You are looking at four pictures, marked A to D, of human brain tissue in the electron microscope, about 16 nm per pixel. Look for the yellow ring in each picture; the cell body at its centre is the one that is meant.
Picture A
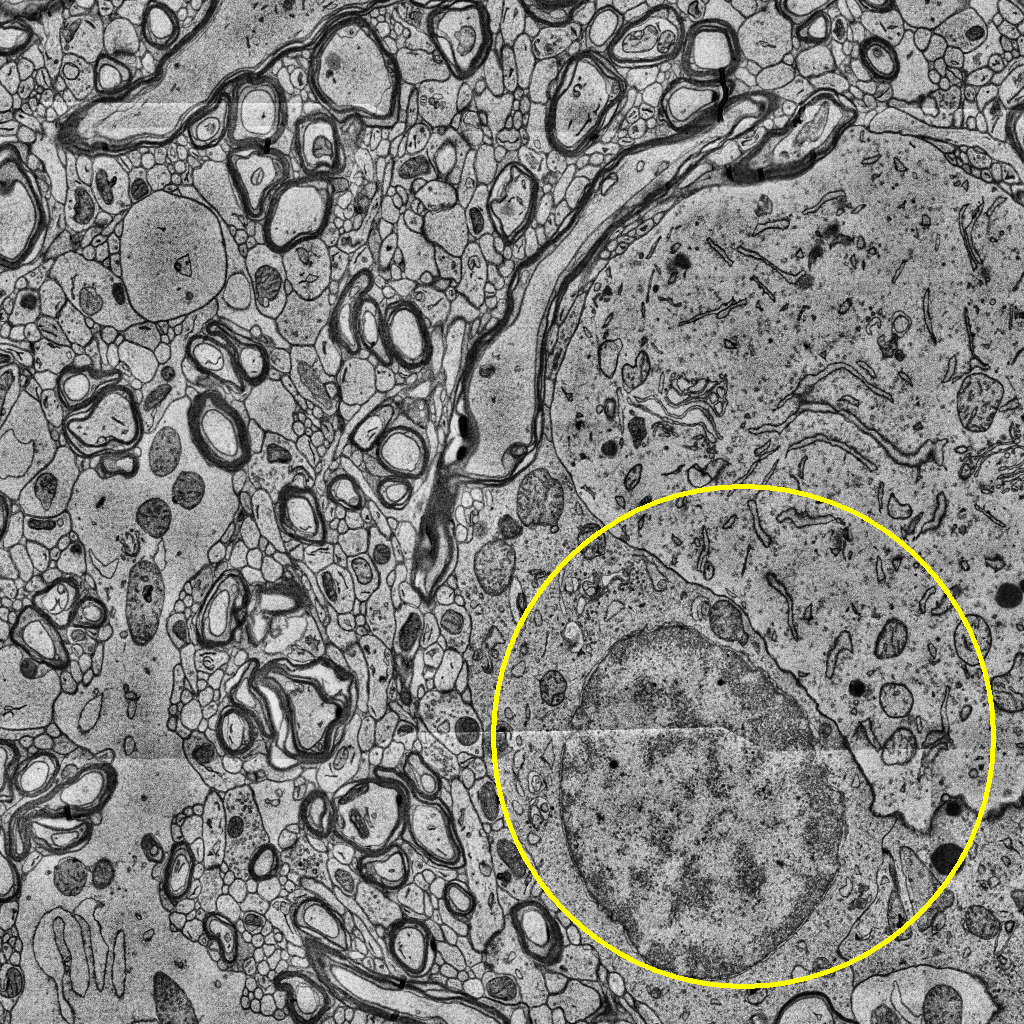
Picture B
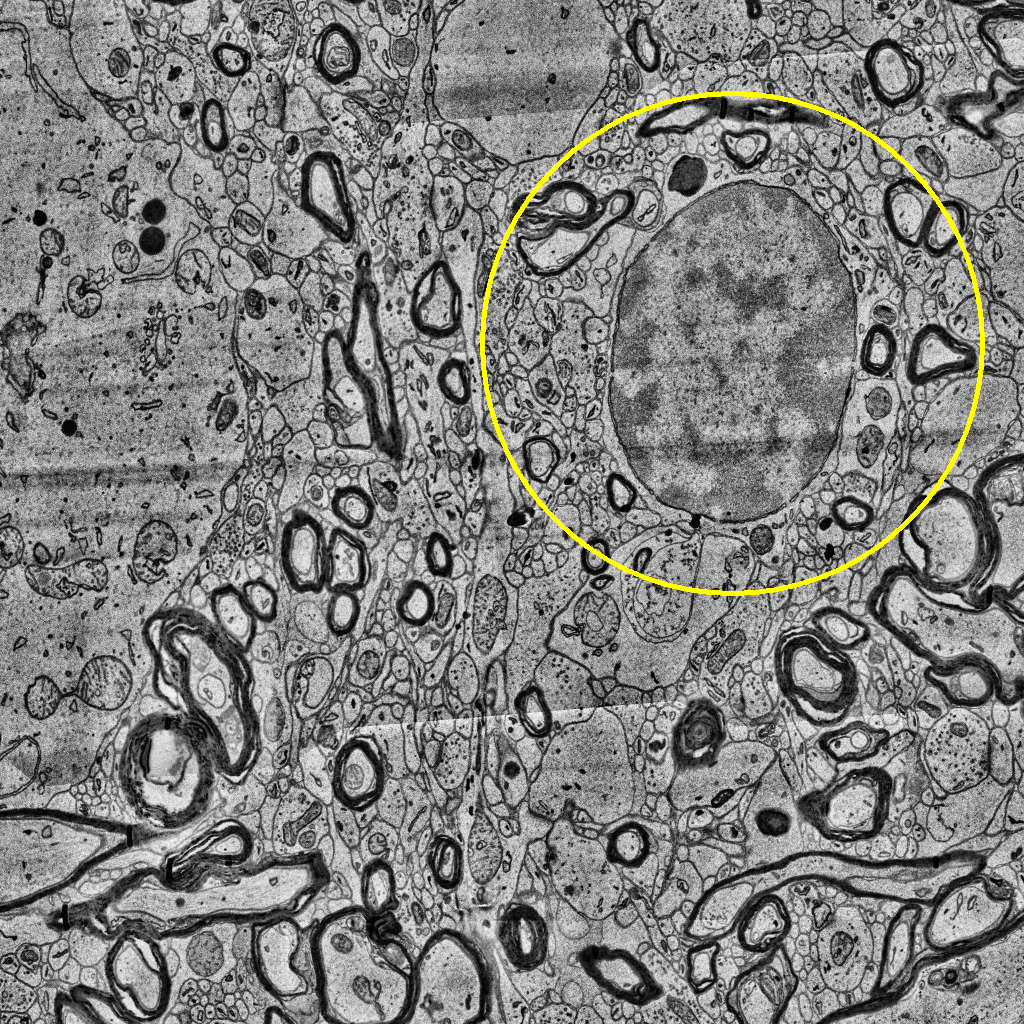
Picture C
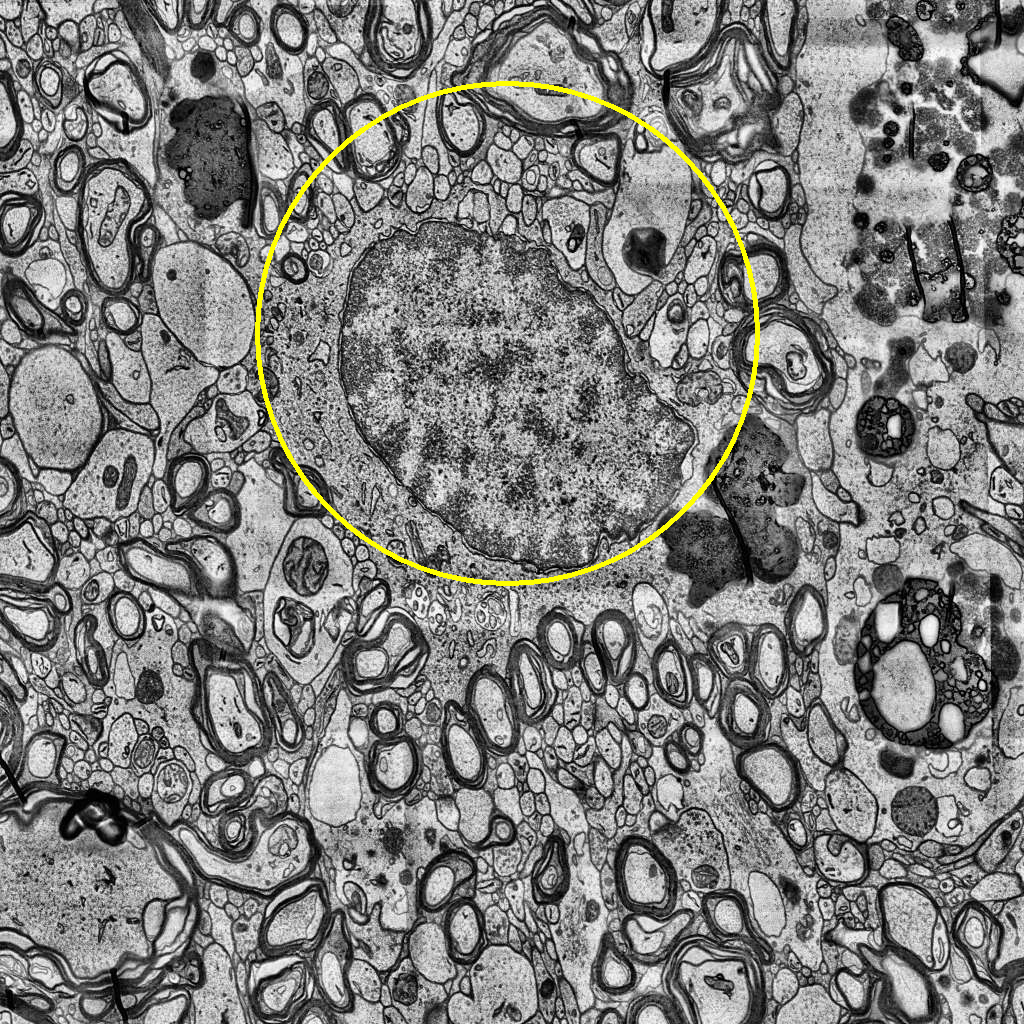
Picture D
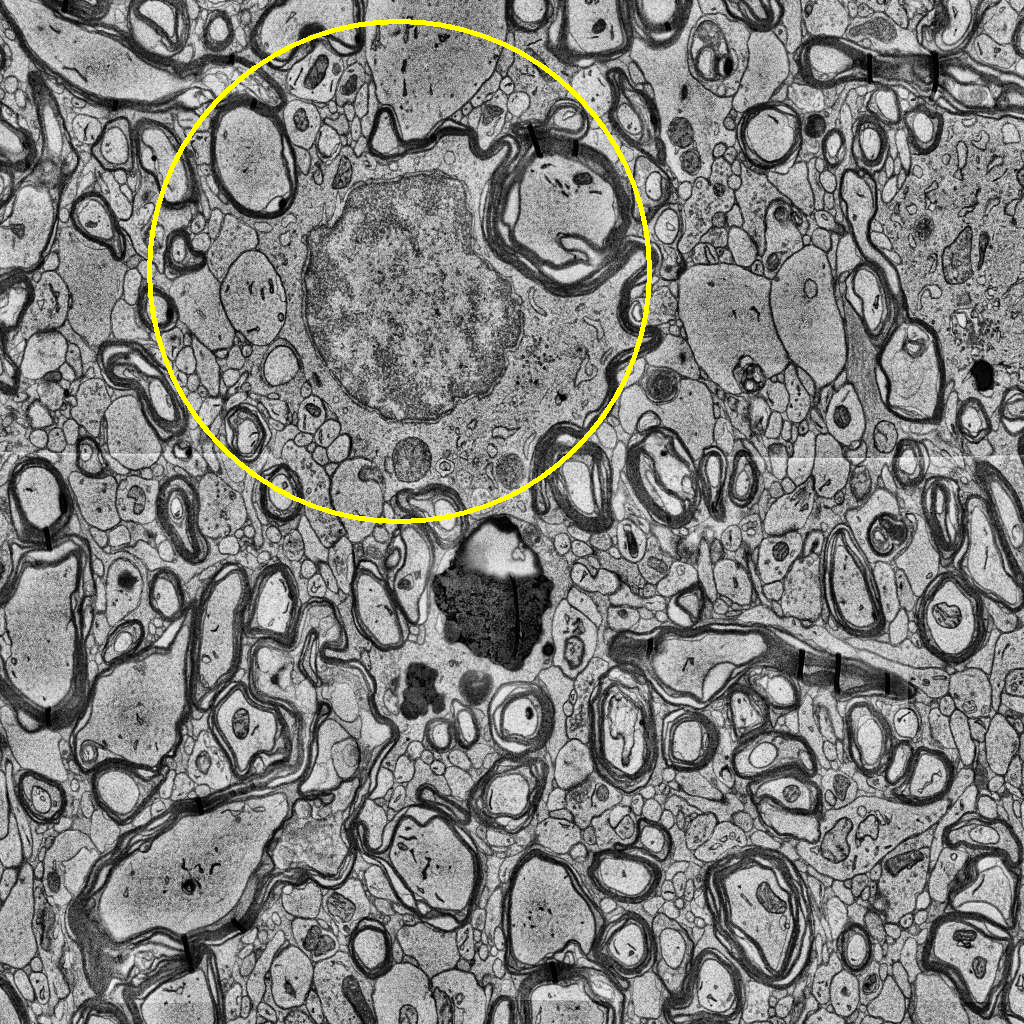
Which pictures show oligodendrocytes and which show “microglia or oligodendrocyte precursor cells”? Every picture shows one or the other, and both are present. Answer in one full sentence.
Pictures A, C and D show oligodendrocytes; picture B shows a “microglia or oligodendrocyte precursor cell”.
